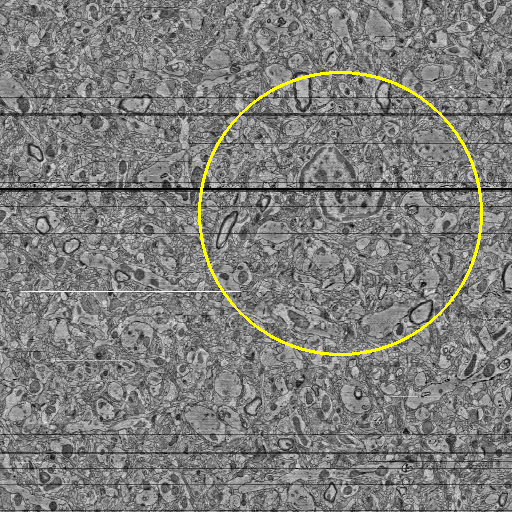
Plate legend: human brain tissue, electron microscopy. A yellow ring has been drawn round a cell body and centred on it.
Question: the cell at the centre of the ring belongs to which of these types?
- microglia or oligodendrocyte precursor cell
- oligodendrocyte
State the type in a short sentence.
The cell in the middle of the ring is a microglial cell or oligodendrocyte precursor cell.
